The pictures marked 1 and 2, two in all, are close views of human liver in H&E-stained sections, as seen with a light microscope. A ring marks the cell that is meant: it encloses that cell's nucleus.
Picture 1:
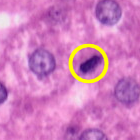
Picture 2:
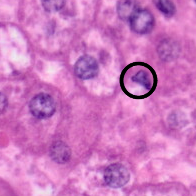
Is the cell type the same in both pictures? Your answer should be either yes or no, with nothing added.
no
